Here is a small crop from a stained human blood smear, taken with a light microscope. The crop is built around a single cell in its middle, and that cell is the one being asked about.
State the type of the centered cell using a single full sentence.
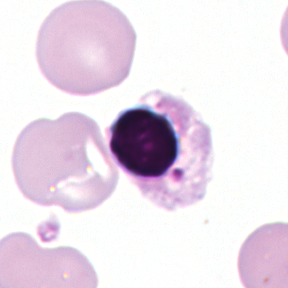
The central element of this crop is a cell, namely an erythroblast.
